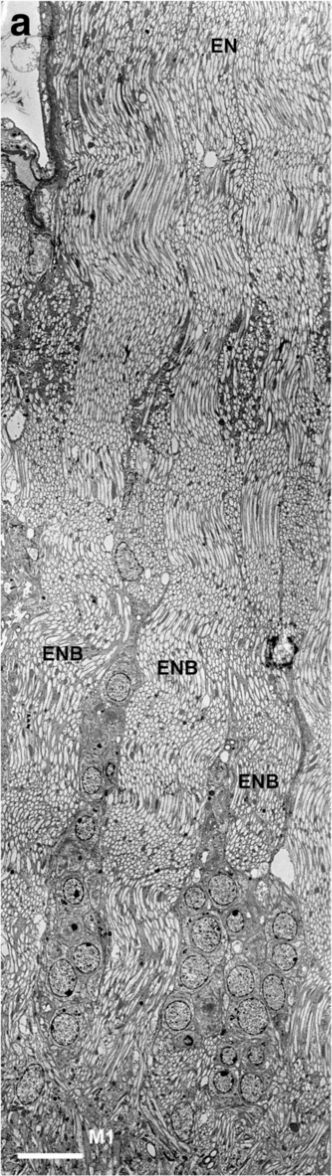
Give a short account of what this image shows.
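In the upper part, the nerve is made of densely packed, pale axon profiles arranged in alternating groups cut lengthwise and in cross section. Further down, the fibres split into separate bundles, and darker strands of tissue with nuclei lie between them. At the bottom, clusters of cells with large, round nuclei sit between the bundles above a darker, denser fibrous region.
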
